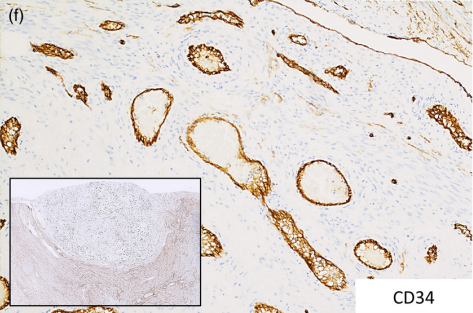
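Here the brown stain picks out the endothelial cells lining the many vessels of the tumor, forming thin rims around rounded and branching lumens. The spindle-cell stroma between the vessels is mostly pale blue with only the counterstain. A few brown streaks run along the upper right edge.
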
